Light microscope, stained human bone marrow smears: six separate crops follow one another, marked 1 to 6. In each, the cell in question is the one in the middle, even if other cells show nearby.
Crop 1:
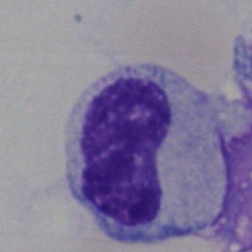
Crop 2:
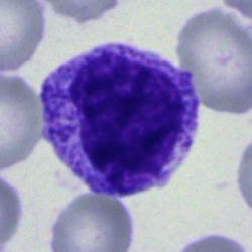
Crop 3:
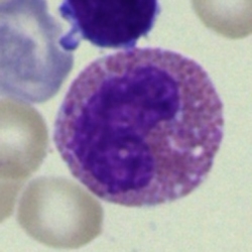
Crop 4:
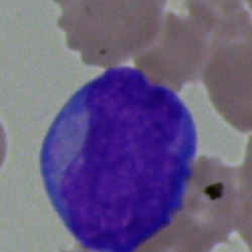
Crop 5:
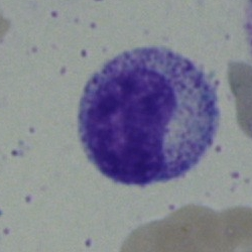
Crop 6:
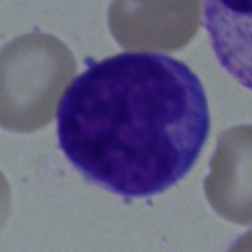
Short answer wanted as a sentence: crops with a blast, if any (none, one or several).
The crops in this set showing blasts are 4 and 6.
